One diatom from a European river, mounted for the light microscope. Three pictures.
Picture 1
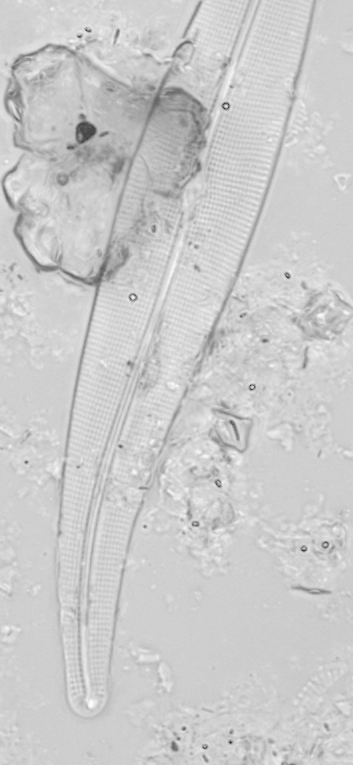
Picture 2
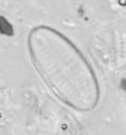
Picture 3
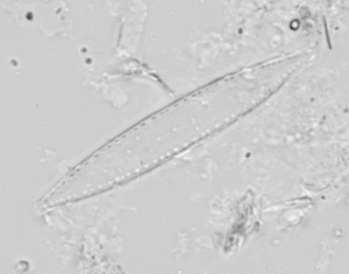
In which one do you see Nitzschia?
In picture 3.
